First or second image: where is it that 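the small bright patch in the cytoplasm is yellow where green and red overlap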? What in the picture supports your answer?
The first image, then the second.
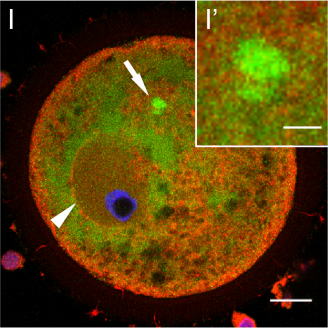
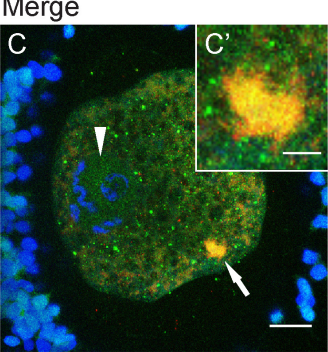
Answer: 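The second image. First image: the enlarged patch is green set against a red background. Second image: the enlarged patch is bright yellow-orange.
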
